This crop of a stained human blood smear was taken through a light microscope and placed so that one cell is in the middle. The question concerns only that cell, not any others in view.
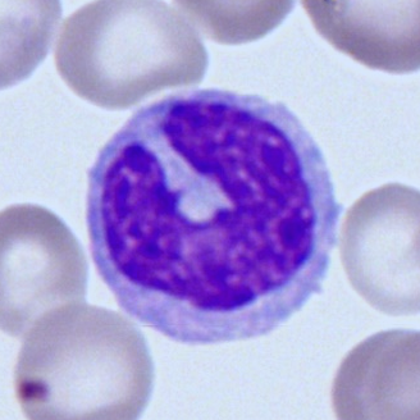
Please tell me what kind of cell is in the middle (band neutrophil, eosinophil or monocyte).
monocyte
